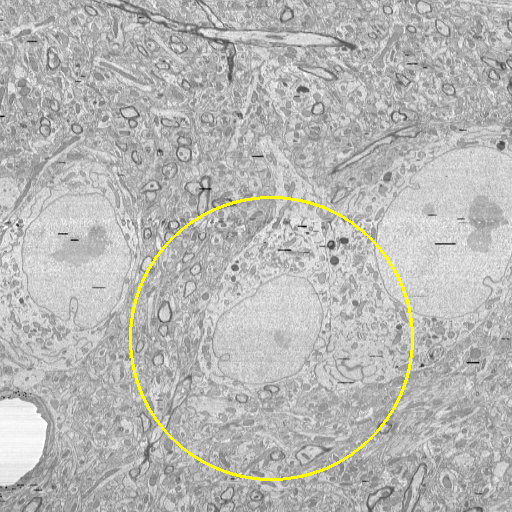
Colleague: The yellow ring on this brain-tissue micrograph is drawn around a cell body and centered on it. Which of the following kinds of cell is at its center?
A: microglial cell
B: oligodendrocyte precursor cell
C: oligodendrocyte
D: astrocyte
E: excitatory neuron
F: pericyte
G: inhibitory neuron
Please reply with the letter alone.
G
